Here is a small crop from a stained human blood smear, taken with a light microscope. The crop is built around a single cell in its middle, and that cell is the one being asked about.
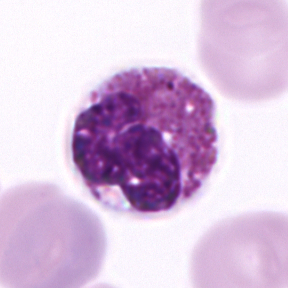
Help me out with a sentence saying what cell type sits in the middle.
The cell in the middle of this crop is an eosinophil.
